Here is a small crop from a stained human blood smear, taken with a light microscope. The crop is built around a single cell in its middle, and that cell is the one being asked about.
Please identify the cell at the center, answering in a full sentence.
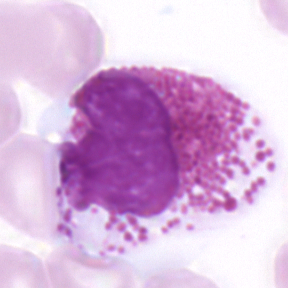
The cell of interest, in the center, is an eosinophil.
